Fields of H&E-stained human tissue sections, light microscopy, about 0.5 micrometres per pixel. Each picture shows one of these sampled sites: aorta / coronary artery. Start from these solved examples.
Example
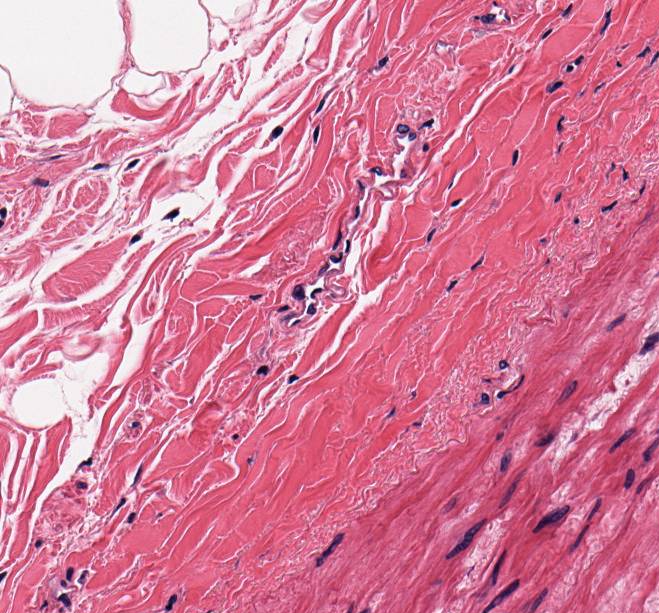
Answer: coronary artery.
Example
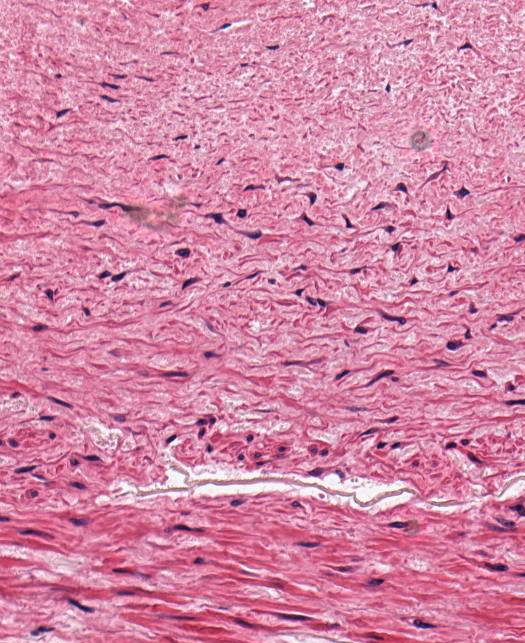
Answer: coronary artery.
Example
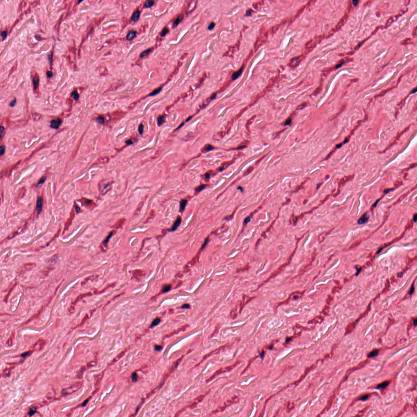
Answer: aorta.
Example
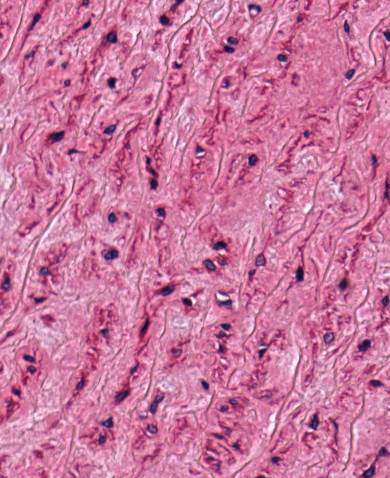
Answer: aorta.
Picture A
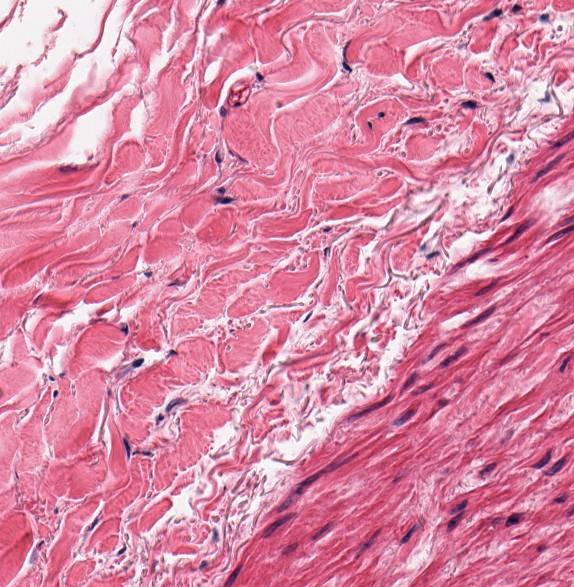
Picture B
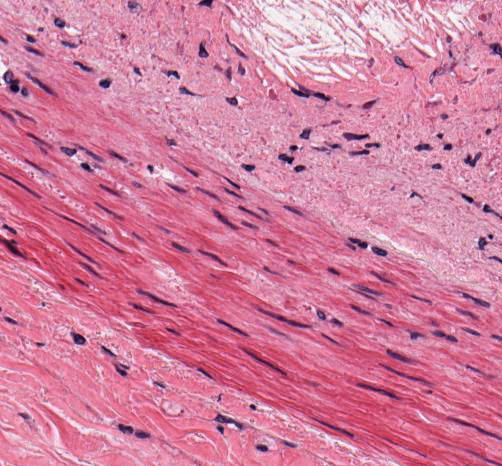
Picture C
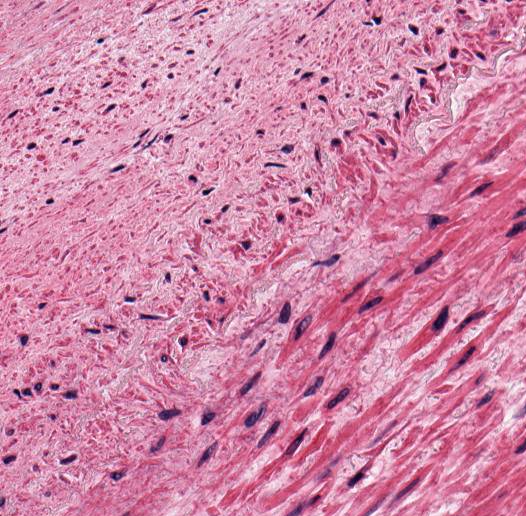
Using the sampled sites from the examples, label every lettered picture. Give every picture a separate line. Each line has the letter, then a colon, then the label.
A: coronary artery.
B: coronary artery.
C: coronary artery.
